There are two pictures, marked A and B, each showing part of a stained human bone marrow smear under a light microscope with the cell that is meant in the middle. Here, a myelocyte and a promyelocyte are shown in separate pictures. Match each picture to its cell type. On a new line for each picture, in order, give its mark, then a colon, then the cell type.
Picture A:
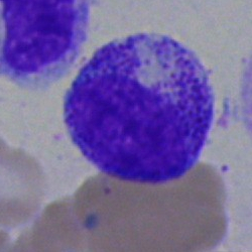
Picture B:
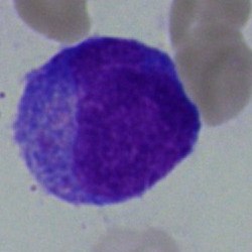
A: myelocyte
B: promyelocyte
